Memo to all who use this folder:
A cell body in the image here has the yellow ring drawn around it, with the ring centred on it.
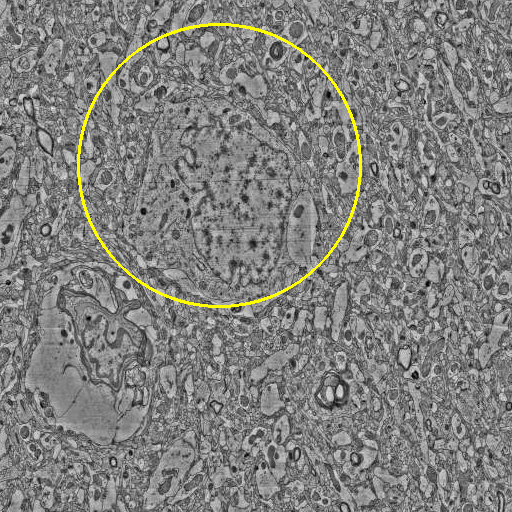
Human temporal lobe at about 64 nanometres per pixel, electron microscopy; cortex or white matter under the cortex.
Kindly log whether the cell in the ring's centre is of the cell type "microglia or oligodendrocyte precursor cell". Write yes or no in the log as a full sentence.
No, logged: the ring in this image is centred on a cell of a different type.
